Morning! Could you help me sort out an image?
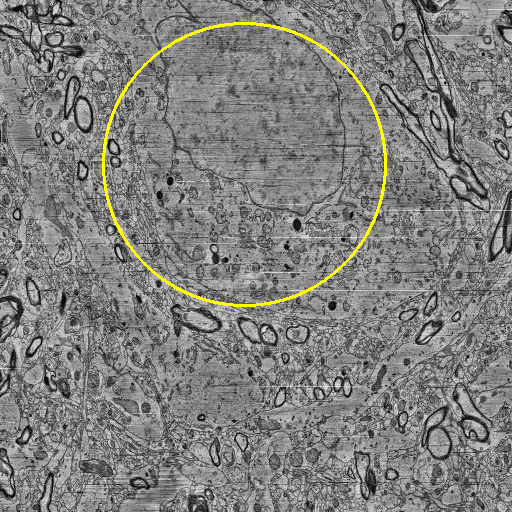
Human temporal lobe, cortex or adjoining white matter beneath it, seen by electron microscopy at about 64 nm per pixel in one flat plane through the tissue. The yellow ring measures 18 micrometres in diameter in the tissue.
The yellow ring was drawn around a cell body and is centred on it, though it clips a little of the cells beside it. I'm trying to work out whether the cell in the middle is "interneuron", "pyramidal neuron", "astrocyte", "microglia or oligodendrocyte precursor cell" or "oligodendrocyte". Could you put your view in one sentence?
The ringed cell body is that of a pyramidal neuron.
